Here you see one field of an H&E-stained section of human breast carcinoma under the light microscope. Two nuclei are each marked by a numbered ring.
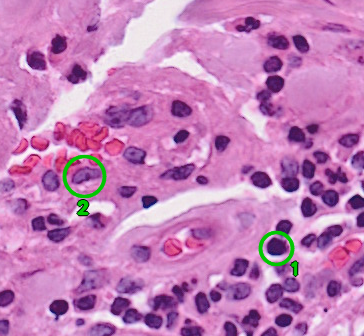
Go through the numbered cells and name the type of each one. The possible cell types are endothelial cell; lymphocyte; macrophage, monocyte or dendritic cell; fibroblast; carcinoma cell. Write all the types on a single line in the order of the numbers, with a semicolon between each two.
lymphocyte; endothelial cell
